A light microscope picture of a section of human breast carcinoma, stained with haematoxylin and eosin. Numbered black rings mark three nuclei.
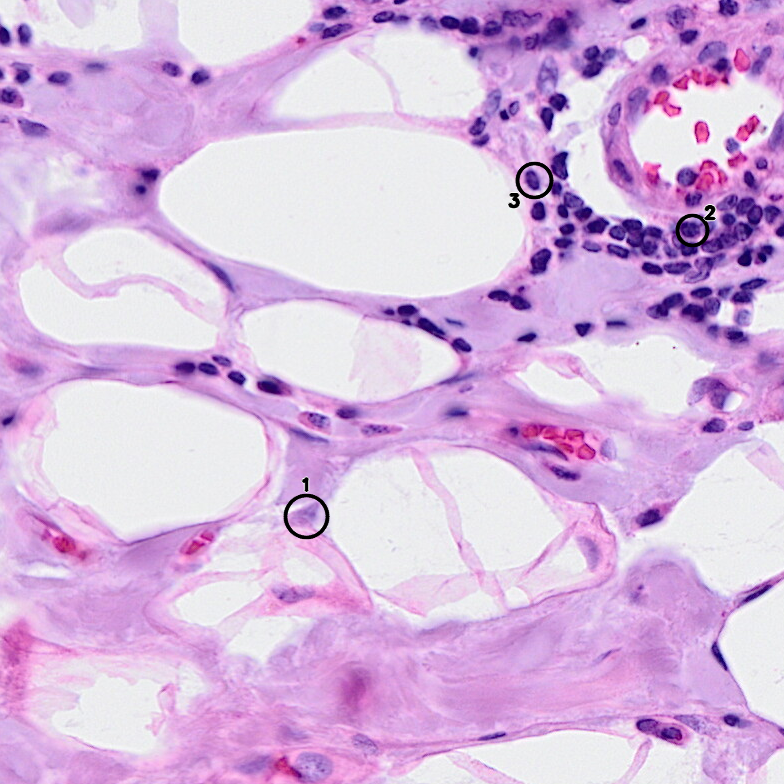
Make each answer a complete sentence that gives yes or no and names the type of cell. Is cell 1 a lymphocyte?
No. Cell number 1 is a fibroblast, not a lymphocyte.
